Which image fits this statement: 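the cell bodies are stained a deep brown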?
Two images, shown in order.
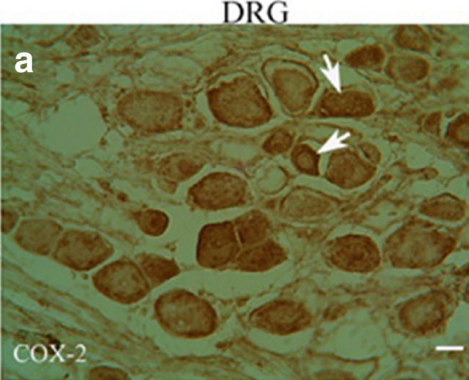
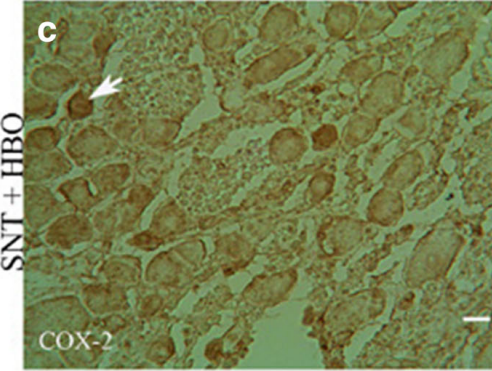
the first image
